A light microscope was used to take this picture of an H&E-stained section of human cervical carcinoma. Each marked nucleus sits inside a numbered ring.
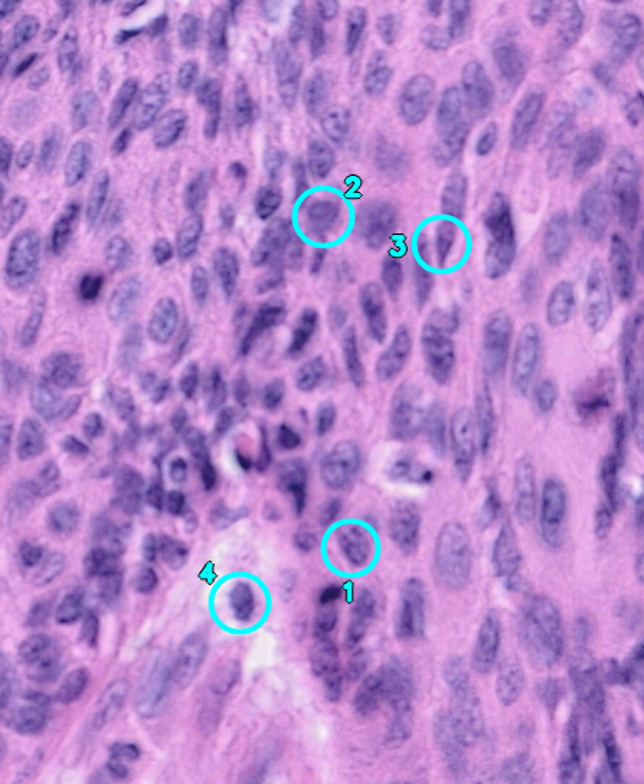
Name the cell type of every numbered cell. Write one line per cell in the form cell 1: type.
cell 1: squamous carcinoma cell
cell 2: squamous carcinoma cell
cell 3: squamous carcinoma cell
cell 4: lymphocyte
